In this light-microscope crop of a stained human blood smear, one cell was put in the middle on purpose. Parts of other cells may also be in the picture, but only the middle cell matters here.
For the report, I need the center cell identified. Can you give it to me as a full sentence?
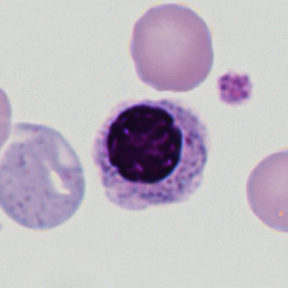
The central cell shown in this smear crop is an erythroblast.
